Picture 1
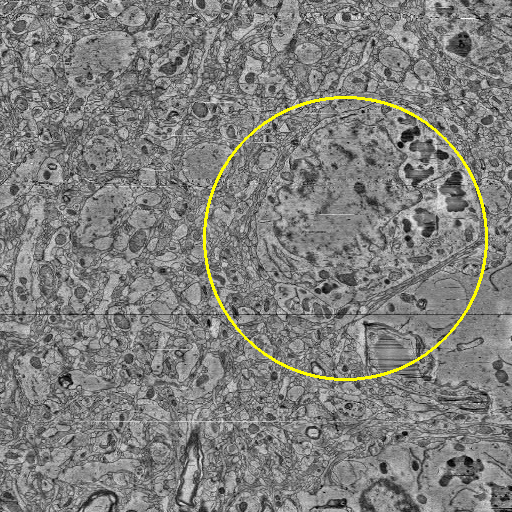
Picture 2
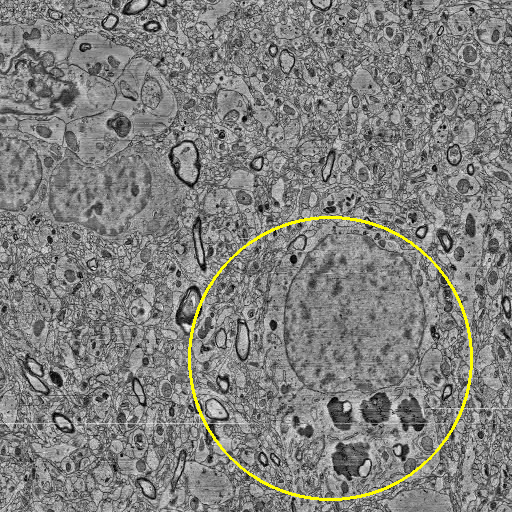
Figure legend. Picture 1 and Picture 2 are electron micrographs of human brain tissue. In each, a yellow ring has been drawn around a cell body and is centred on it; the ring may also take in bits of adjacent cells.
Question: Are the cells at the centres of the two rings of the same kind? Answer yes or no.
yes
